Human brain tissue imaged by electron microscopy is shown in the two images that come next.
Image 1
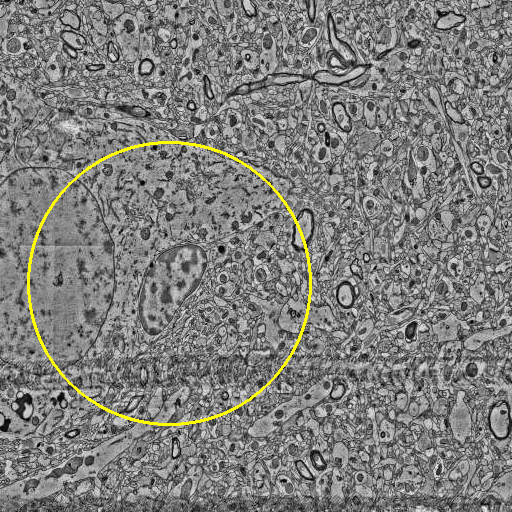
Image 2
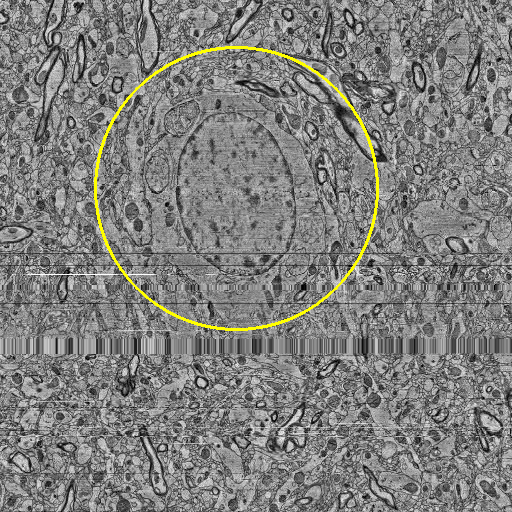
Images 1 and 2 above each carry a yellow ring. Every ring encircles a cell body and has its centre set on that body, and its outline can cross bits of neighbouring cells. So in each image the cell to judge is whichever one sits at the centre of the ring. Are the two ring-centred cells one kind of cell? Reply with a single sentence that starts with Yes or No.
No, in Image 1 and Image 2 the cells at the centres of their rings fall into two types.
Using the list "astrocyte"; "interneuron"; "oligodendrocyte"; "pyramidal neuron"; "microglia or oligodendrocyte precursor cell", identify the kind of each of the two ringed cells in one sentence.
The first is a microglial cell or oligodendrocyte precursor cell and the second is an astrocyte.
